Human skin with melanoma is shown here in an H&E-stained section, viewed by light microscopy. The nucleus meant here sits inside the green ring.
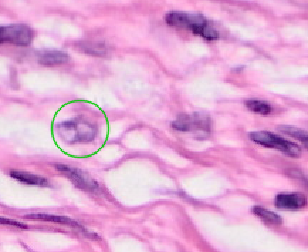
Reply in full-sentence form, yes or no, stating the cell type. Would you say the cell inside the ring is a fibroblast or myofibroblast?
Yes, it is accurate to say that the cell inside the ring is a fibroblast or myofibroblast.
